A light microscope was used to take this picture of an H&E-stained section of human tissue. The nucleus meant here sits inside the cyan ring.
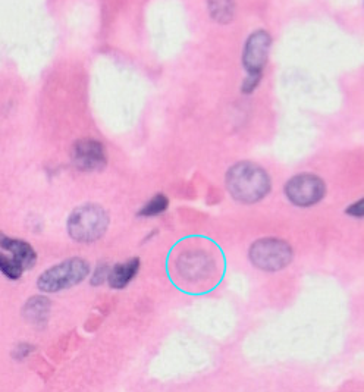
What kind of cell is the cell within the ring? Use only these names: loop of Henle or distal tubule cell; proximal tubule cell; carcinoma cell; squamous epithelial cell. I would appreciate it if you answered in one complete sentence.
In this section, the cell within the ring is a proximal tubule cell.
